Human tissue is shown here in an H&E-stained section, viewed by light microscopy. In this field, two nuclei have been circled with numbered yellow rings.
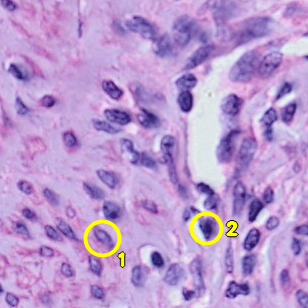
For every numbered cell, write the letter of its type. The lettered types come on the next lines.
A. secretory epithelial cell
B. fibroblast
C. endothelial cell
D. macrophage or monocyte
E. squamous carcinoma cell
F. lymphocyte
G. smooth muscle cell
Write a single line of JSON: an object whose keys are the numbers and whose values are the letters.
{"1": "G", "2": "F"}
